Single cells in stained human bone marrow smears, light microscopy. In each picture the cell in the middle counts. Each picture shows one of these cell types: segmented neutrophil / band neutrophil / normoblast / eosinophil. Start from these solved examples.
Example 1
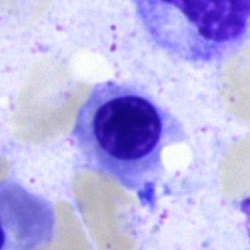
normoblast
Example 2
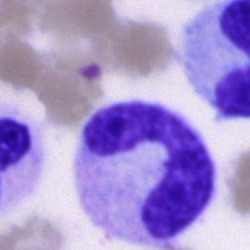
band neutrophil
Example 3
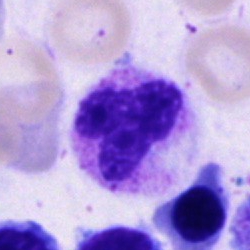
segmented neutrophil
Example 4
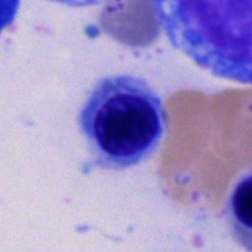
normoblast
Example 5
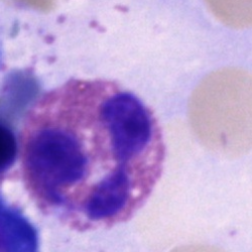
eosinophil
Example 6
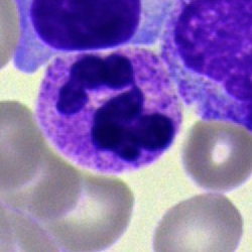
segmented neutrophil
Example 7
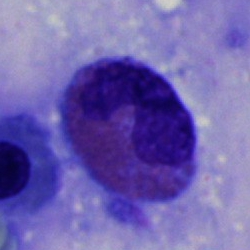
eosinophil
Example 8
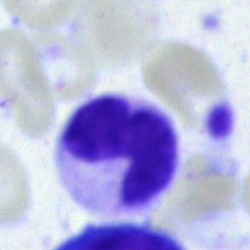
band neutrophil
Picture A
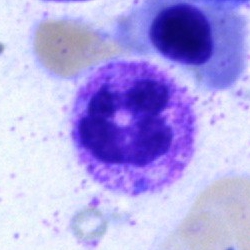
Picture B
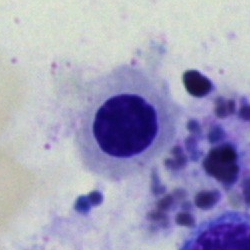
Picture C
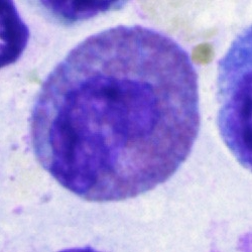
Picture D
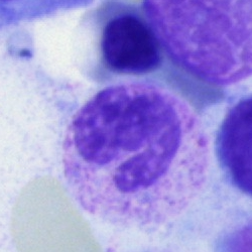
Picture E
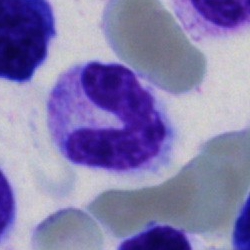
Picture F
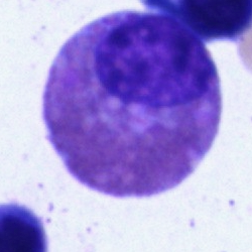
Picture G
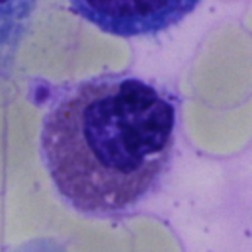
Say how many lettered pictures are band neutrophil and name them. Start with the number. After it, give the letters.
0, none of them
